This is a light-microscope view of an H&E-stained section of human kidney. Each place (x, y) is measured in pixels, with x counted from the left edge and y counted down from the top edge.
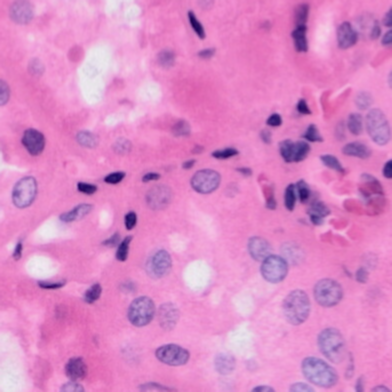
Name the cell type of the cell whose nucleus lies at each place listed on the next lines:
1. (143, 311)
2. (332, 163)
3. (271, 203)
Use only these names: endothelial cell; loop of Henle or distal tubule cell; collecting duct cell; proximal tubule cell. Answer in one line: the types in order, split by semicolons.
proximal tubule cell; endothelial cell; endothelial cell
